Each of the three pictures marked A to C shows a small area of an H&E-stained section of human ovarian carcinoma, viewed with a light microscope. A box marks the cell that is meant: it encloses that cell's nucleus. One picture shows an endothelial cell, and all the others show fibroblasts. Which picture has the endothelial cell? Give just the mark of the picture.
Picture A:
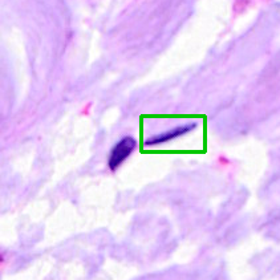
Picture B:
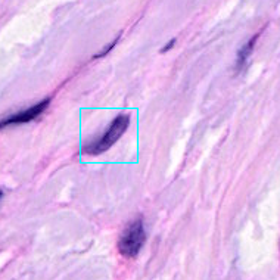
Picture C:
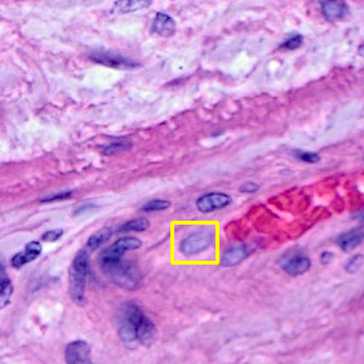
C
